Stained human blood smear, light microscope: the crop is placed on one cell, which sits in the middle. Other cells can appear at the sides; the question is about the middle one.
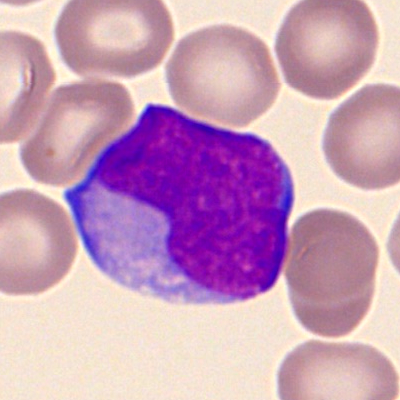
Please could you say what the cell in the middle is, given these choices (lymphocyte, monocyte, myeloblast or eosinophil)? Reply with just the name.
myeloblast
